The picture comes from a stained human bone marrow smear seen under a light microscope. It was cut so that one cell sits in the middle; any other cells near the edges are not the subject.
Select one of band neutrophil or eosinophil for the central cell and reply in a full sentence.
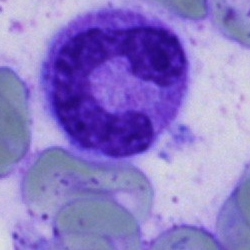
Where the crop is centred, there is a band neutrophil.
